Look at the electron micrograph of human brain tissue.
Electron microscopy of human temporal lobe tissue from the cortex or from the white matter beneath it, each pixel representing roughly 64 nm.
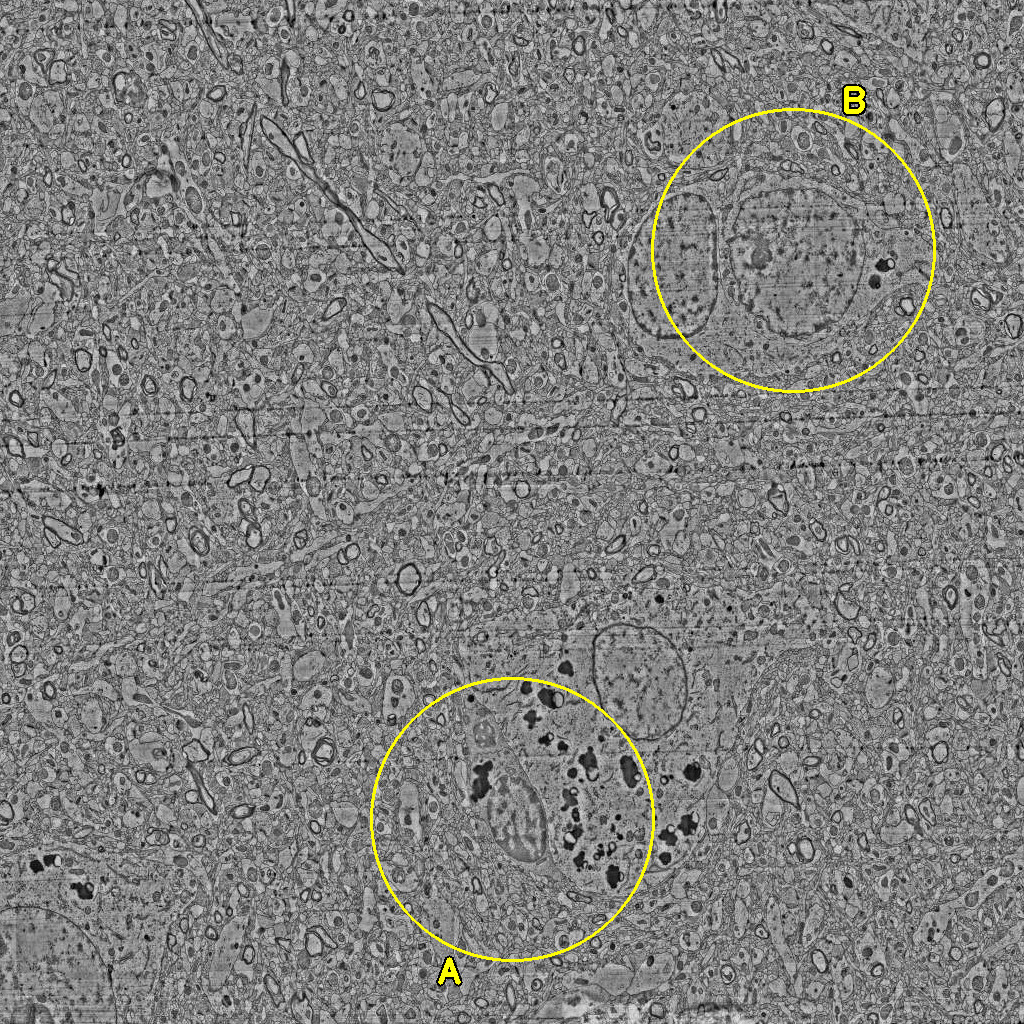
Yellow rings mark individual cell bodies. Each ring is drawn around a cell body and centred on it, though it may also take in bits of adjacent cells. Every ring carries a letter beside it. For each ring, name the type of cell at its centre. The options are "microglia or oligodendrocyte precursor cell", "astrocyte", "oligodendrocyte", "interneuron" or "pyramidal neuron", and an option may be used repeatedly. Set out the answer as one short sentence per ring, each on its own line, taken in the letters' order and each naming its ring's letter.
Ring A is drawn around an oligodendrocyte.
Ring B is drawn around an interneuron.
